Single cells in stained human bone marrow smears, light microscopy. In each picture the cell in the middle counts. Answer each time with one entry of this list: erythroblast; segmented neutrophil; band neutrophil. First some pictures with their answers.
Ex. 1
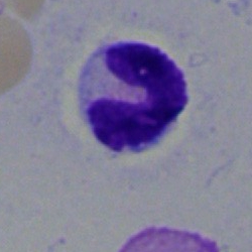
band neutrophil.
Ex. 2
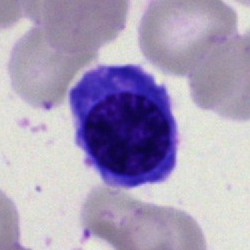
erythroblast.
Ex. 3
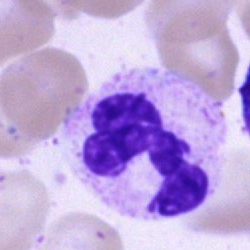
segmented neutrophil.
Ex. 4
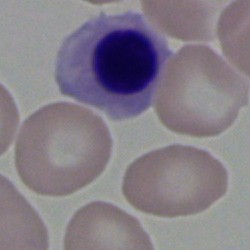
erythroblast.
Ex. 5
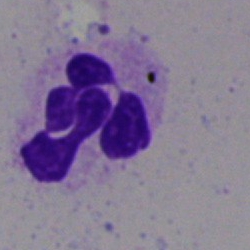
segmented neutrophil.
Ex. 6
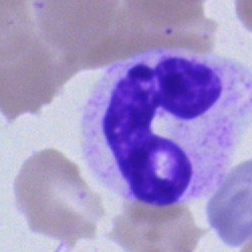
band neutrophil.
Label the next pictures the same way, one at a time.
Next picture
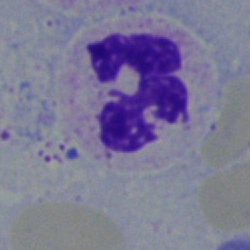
segmented neutrophil.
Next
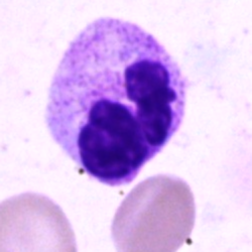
segmented neutrophil.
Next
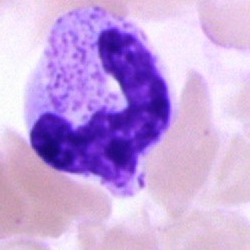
segmented neutrophil.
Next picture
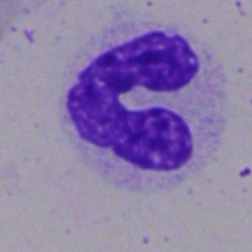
band neutrophil.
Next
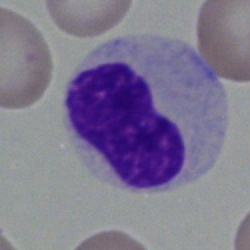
band neutrophil.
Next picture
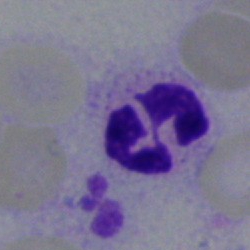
segmented neutrophil.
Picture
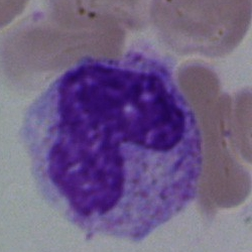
band neutrophil.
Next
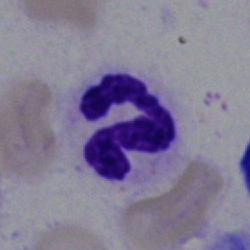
segmented neutrophil.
